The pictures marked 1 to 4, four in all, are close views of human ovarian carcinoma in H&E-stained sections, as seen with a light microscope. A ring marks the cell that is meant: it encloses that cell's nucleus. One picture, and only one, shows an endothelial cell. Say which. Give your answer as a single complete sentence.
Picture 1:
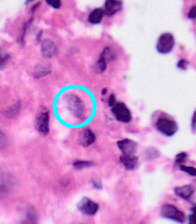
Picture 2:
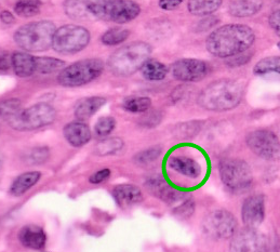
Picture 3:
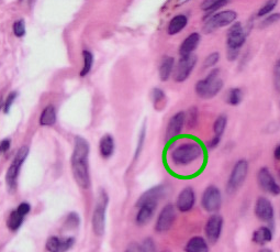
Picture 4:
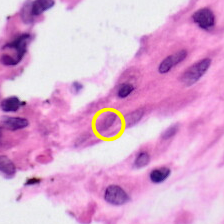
The cell in picture 3 is the endothelial cell.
